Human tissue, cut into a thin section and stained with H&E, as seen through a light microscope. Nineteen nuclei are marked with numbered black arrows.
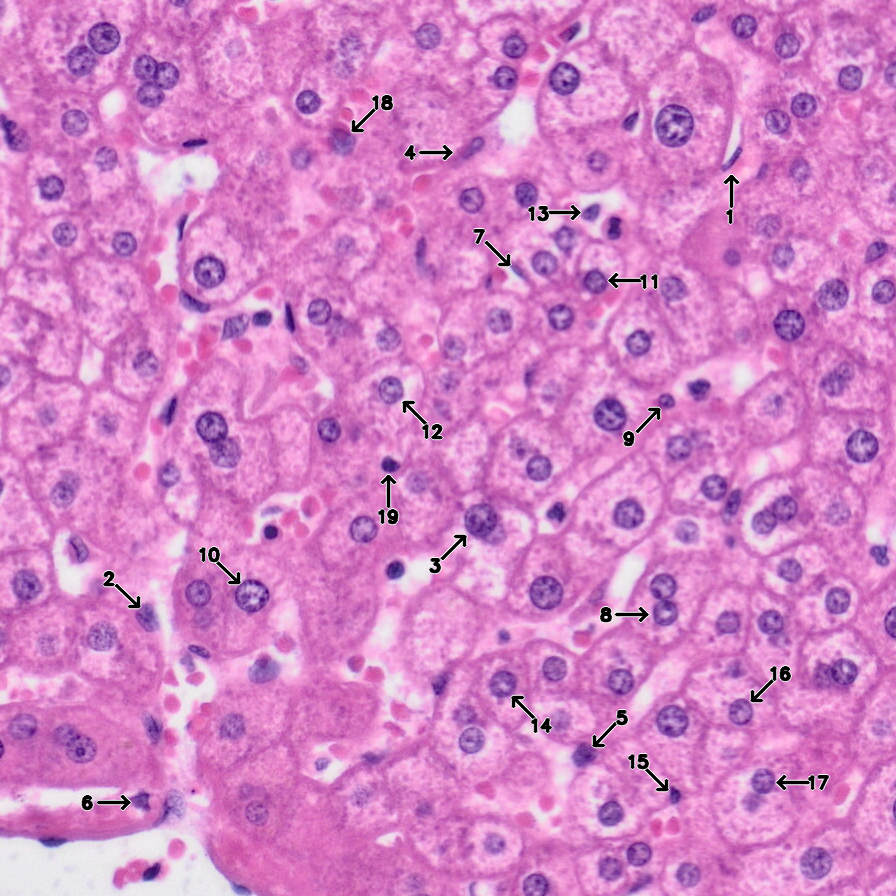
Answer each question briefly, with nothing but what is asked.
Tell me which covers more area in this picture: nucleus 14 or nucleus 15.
14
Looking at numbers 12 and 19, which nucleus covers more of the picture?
12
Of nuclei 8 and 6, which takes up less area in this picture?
6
